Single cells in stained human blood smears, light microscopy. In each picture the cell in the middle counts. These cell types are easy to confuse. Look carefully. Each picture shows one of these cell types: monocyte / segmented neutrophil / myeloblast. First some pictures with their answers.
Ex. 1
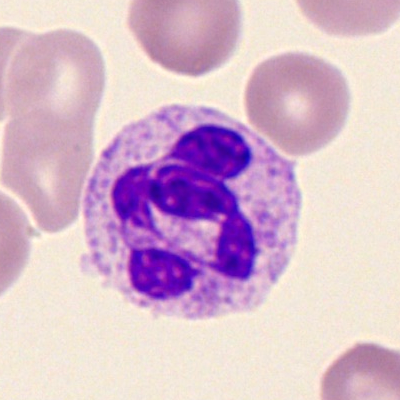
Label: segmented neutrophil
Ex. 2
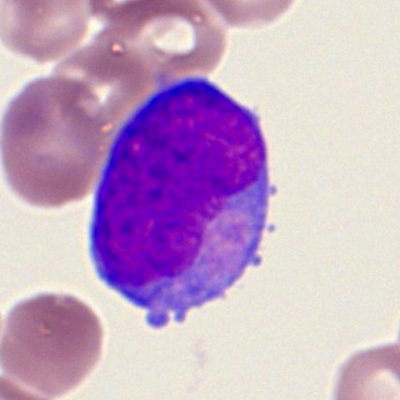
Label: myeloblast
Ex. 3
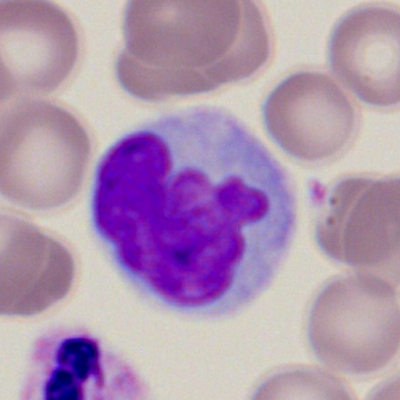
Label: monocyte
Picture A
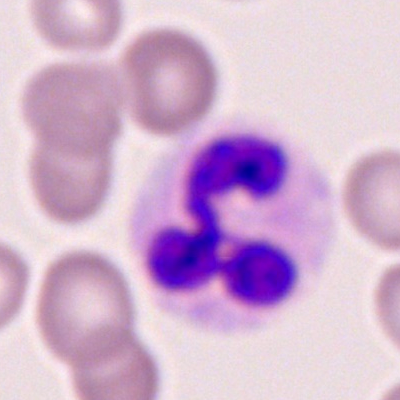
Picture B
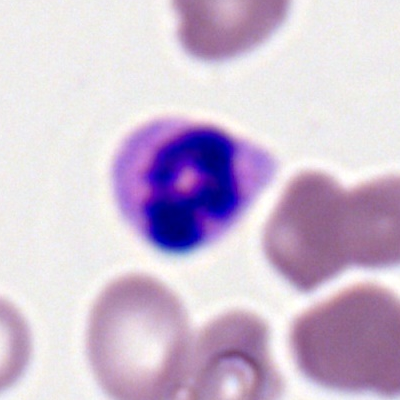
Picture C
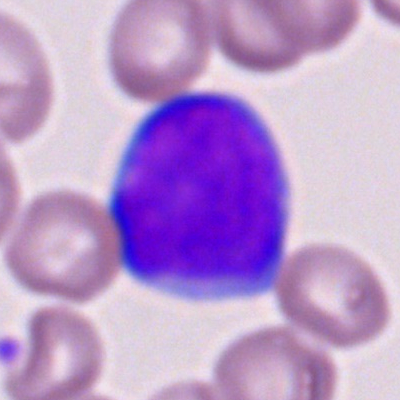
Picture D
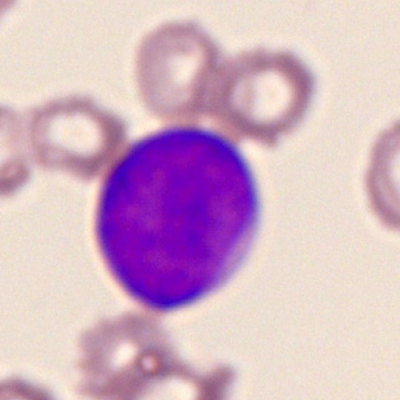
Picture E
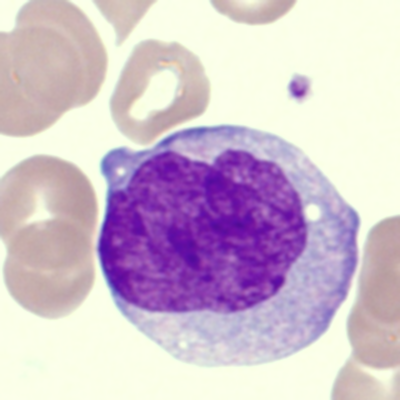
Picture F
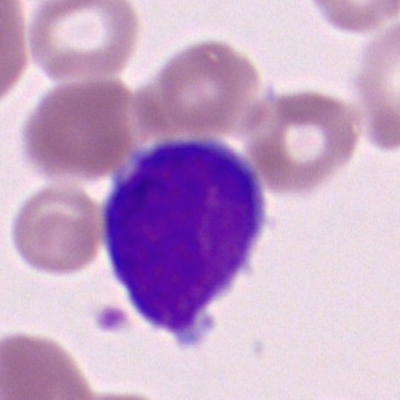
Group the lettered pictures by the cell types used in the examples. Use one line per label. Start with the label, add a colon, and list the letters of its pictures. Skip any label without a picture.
monocyte: E
segmented neutrophil: A, B
myeloblast: C, D, F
